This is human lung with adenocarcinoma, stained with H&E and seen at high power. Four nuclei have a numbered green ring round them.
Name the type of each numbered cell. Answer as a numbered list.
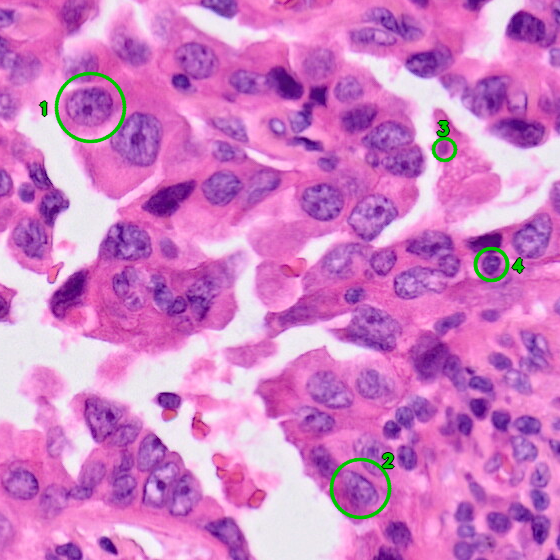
1. carcinoma cell
2. carcinoma cell
3. carcinoma cell
4. lymphocyte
